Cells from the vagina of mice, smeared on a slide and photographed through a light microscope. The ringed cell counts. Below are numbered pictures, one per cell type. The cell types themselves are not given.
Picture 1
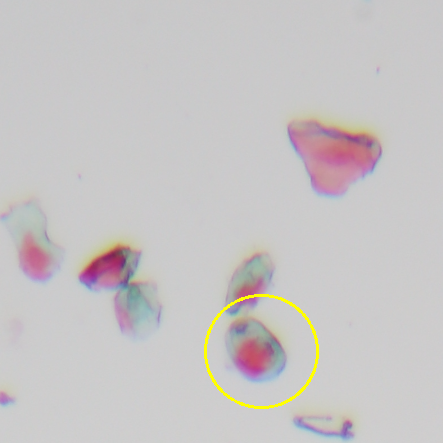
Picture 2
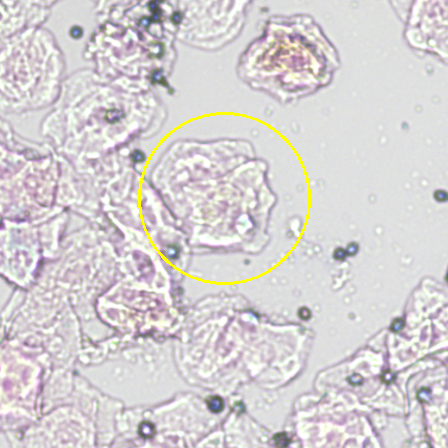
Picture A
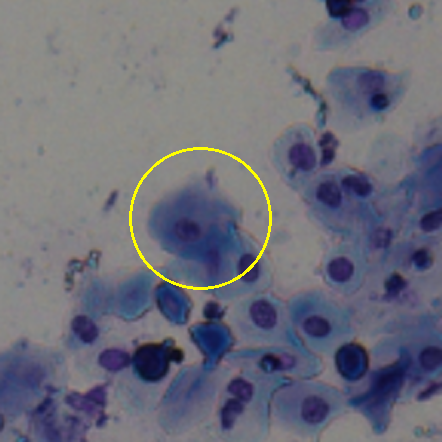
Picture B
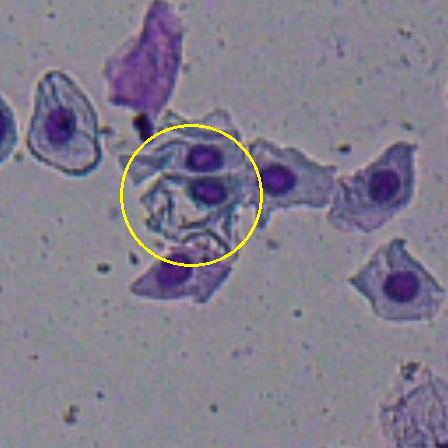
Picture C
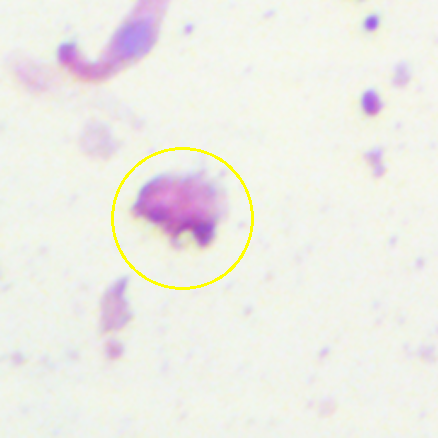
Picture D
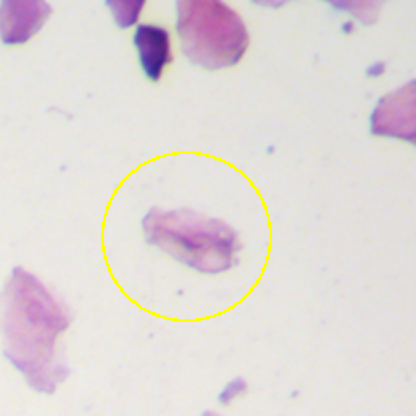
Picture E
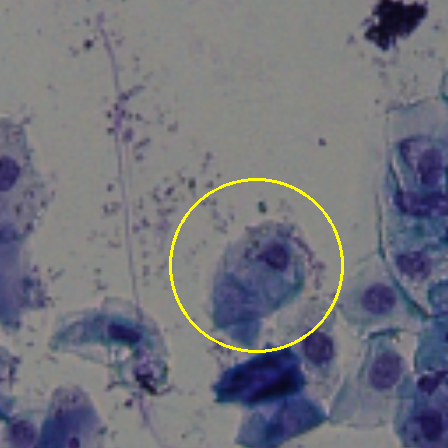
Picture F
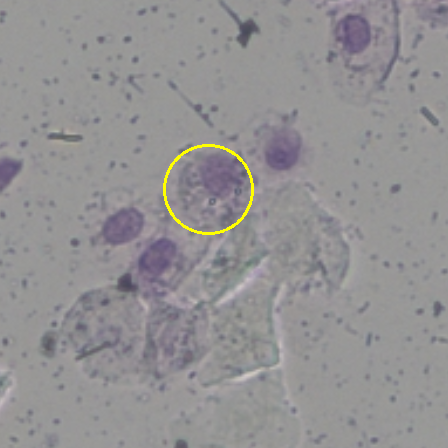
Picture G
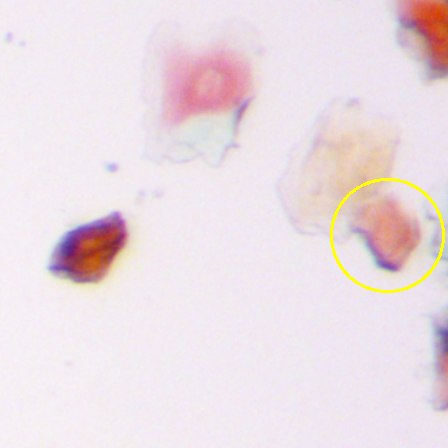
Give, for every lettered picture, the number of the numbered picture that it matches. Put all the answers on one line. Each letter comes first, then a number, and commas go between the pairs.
A 1, B 1, C 2, D 2, E 1, F 1, G 2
